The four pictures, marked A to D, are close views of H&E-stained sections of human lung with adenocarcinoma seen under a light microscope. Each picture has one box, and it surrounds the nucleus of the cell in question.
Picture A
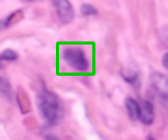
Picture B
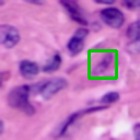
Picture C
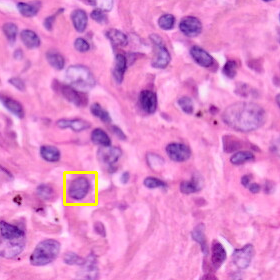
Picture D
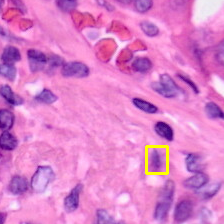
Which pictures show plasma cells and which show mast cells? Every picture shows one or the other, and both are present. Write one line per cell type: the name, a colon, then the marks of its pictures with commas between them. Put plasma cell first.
plasma cell: A, B, D
mast cell: C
